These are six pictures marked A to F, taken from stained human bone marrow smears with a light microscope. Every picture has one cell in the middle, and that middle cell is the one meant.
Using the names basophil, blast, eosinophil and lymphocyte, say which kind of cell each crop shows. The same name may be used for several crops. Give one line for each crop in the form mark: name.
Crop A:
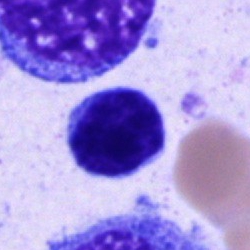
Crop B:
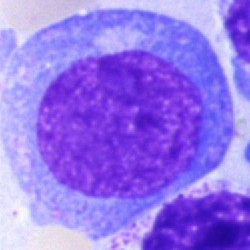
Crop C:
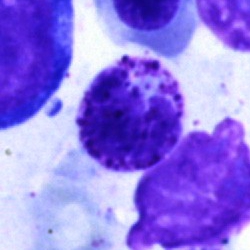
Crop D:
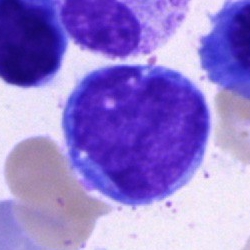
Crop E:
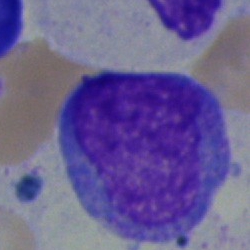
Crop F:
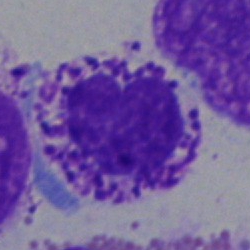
A: lymphocyte
B: blast
C: basophil
D: blast
E: blast
F: basophil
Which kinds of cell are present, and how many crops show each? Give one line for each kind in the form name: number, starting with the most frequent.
blast: 3
basophil: 2
lymphocyte: 1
